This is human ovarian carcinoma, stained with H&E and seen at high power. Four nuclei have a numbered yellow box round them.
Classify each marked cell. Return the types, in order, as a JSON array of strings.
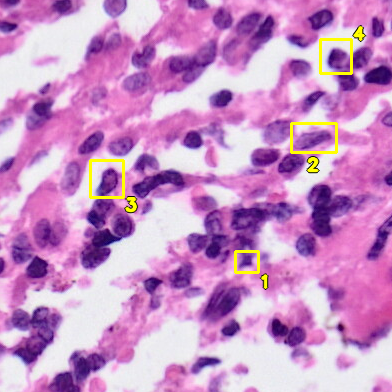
["carcinoma cell", "macrophage or monocyte", "carcinoma cell", "carcinoma cell"]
